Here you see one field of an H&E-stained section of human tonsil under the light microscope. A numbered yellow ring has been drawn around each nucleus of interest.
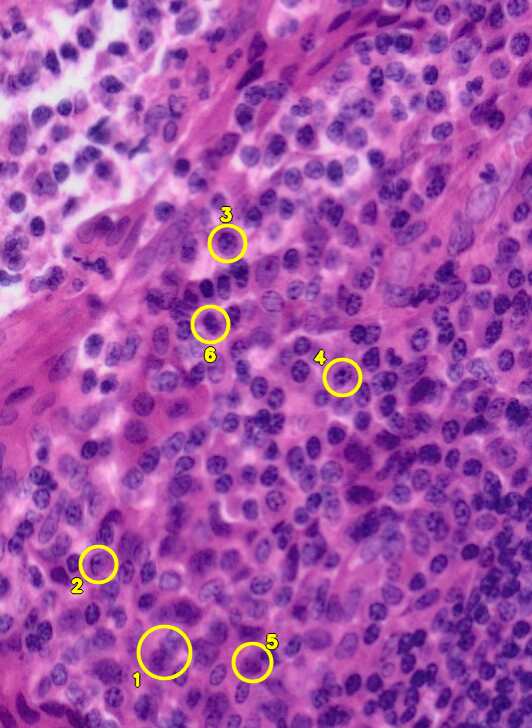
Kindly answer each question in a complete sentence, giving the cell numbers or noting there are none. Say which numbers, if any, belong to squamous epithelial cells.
Cells 1 and 5 are recognised here as squamous epithelial cells.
